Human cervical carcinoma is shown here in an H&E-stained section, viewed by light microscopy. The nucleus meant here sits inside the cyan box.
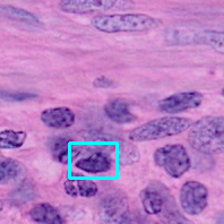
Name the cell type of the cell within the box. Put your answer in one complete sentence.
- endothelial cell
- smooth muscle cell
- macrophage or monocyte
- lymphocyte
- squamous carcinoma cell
The cell within the box is a lymphocyte.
